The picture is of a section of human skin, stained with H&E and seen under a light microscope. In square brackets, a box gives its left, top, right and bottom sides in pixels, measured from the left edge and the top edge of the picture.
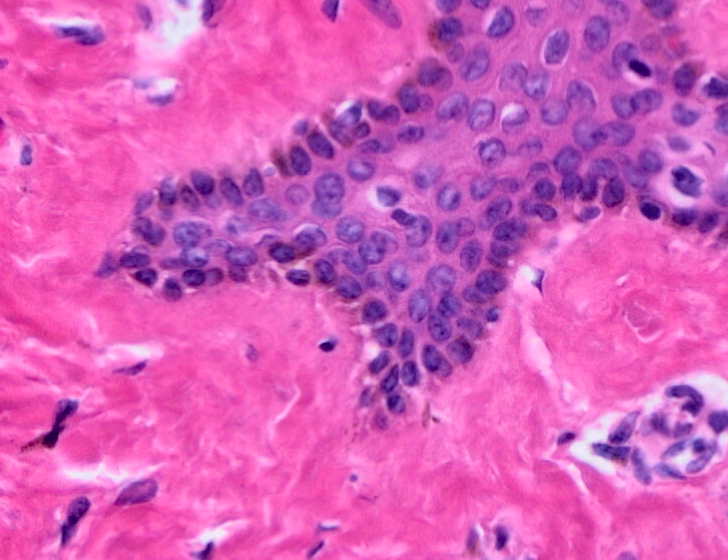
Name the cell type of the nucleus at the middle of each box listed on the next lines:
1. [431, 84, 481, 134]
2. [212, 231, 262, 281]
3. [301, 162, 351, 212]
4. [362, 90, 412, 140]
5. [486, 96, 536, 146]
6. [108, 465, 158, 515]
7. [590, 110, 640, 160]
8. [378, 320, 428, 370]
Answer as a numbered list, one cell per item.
1. suprabasal keratinocyte
2. basal keratinocyte
3. suprabasal keratinocyte
4. basal keratinocyte
5. suprabasal keratinocyte
6. fibroblast
7. suprabasal keratinocyte
8. basal keratinocyte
